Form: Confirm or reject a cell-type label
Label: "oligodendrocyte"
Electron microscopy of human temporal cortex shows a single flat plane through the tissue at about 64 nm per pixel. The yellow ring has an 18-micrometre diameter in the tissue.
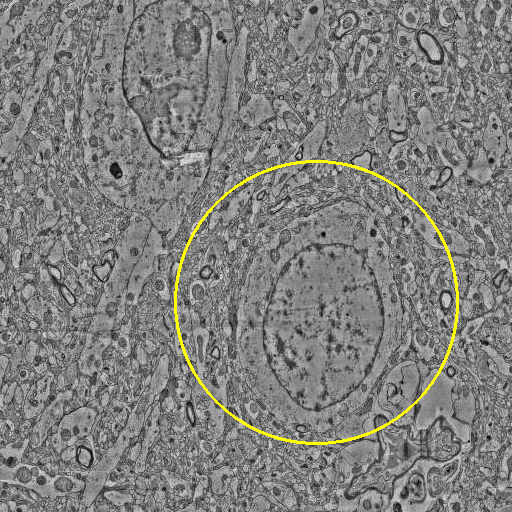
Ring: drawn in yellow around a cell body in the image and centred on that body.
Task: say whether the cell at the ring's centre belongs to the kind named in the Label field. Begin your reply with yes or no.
No, it belongs to another kind.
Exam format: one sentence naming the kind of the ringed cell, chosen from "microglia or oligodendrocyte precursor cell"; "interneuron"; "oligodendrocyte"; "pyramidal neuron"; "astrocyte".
This picture has a pyramidal neuron at the centre of its ring.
